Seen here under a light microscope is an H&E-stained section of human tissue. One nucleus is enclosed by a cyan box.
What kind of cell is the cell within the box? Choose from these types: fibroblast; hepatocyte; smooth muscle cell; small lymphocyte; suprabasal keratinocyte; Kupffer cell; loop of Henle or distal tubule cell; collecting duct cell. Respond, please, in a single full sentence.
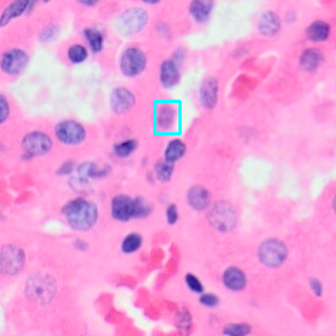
In this tissue sample, the cell within the box is a loop of Henle or distal tubule cell.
